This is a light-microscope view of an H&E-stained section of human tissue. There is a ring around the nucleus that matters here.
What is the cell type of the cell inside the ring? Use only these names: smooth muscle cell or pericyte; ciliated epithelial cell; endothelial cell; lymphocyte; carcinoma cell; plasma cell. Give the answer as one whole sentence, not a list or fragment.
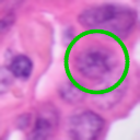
Right, so the cell inside the ring is a carcinoma cell, to answer that.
